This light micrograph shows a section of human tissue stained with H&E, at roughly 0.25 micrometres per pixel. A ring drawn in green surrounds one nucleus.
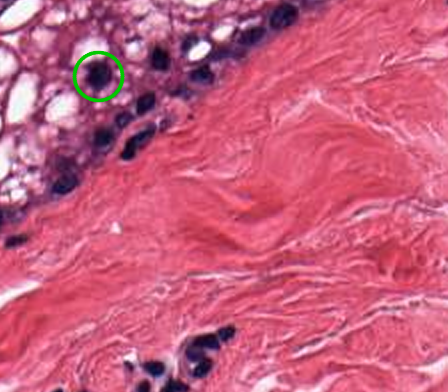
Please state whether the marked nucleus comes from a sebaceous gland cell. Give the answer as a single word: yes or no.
yes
